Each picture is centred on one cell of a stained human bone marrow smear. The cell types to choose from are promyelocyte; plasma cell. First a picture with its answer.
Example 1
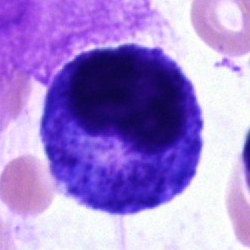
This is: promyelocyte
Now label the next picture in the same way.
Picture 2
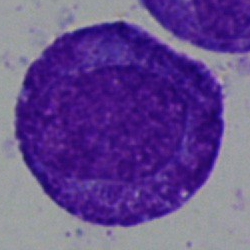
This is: promyelocyte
